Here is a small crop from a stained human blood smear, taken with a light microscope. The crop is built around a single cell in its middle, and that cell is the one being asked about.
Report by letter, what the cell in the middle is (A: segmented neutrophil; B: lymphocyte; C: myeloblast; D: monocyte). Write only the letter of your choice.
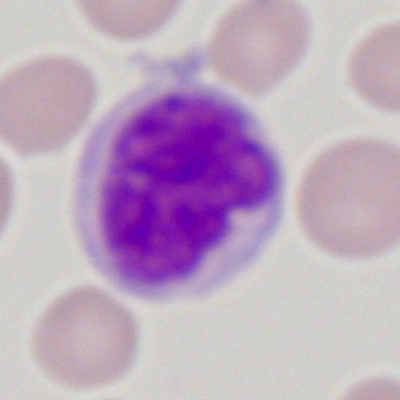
D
